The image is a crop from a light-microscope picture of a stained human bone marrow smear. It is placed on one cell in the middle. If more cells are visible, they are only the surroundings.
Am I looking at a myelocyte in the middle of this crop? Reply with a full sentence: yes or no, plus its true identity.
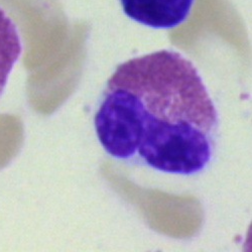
No, instead of a myelocyte, the centred cell represents an eosinophil.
